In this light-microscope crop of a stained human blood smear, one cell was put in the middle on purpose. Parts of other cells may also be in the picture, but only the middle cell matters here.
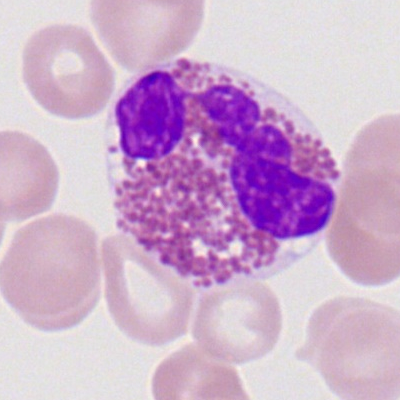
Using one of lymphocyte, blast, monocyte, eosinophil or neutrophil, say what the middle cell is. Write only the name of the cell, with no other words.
eosinophil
